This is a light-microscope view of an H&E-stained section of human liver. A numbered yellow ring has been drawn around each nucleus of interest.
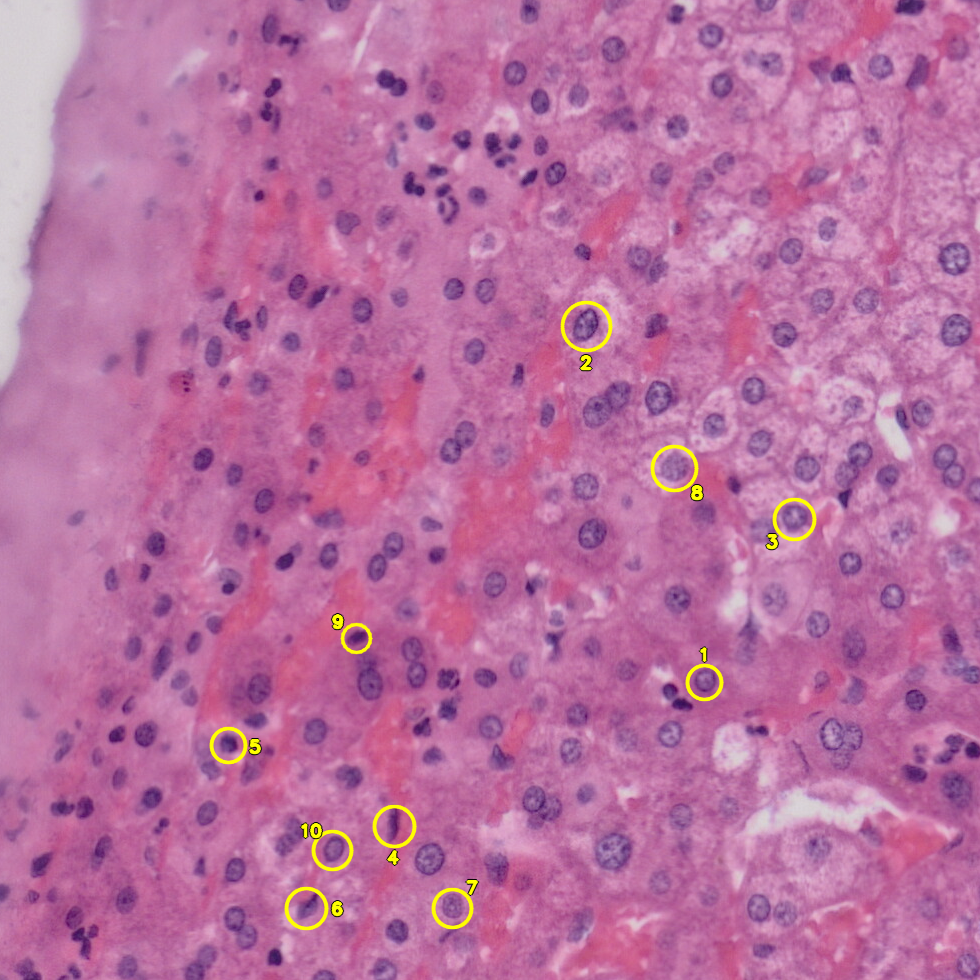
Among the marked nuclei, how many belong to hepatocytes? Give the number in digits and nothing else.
6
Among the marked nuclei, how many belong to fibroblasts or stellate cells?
1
